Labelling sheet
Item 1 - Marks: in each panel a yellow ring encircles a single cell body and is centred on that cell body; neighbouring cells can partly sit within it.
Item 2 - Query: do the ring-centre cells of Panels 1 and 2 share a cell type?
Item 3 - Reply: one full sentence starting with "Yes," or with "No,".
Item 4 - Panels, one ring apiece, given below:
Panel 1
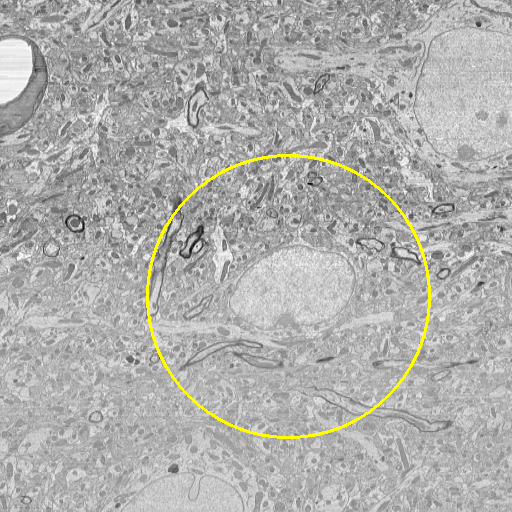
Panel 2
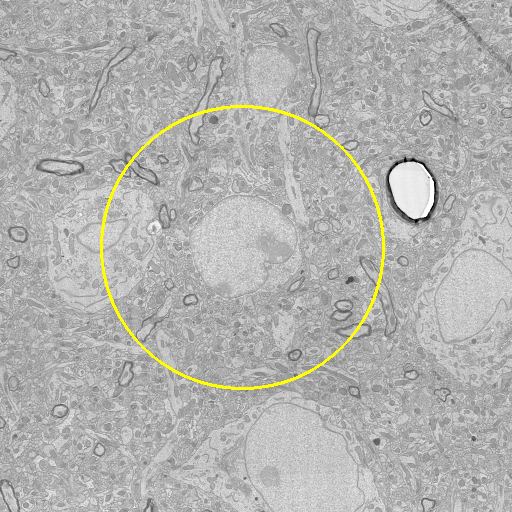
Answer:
Yes, Panel 1 and Panel 2 show one cell type at the centres of their rings.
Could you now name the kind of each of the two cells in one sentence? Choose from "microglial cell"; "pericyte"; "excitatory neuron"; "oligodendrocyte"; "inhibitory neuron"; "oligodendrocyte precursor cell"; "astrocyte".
Each one of the two ringed cells is an astrocyte.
